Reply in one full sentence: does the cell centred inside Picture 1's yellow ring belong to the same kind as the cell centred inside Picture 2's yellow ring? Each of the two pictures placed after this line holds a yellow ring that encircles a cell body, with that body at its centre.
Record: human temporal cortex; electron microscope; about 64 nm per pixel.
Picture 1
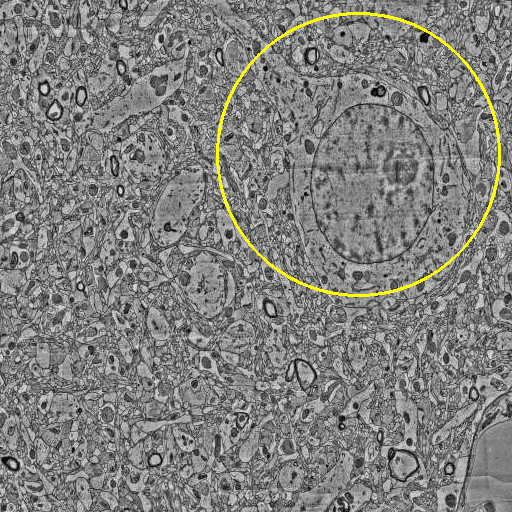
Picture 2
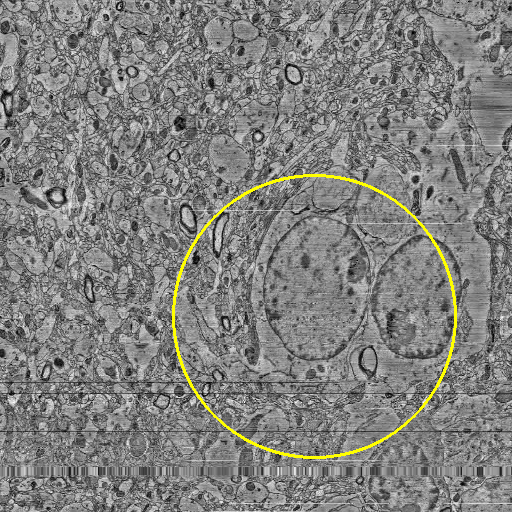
No, the ring-centred cells in Picture 1 and Picture 2 are of two separate kinds.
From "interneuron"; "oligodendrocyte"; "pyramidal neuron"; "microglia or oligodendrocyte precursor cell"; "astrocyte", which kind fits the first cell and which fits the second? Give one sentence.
The cell marked in the first picture is a pyramidal neuron, and the one marked in the second is an astrocyte.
